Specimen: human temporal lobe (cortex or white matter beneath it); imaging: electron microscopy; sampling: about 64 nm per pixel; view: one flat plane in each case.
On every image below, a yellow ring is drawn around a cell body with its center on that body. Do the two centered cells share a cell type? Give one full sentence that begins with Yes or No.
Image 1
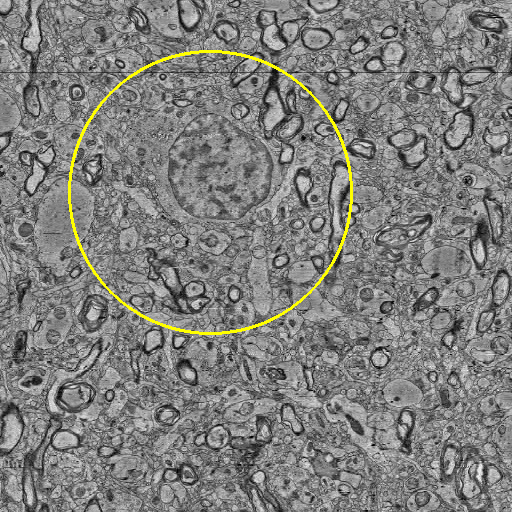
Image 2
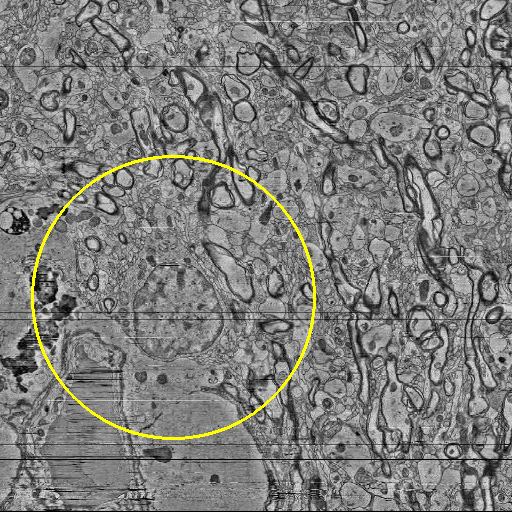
Yes, the centered cells in the two images are of a single cell type.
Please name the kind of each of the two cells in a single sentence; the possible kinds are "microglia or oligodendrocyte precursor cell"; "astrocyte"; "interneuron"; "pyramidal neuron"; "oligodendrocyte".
Both cells are the same kind, each one being an oligodendrocyte.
